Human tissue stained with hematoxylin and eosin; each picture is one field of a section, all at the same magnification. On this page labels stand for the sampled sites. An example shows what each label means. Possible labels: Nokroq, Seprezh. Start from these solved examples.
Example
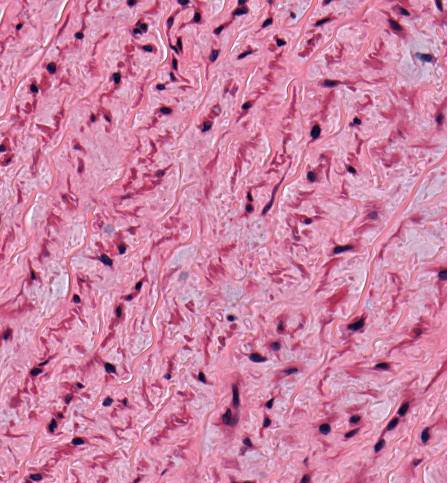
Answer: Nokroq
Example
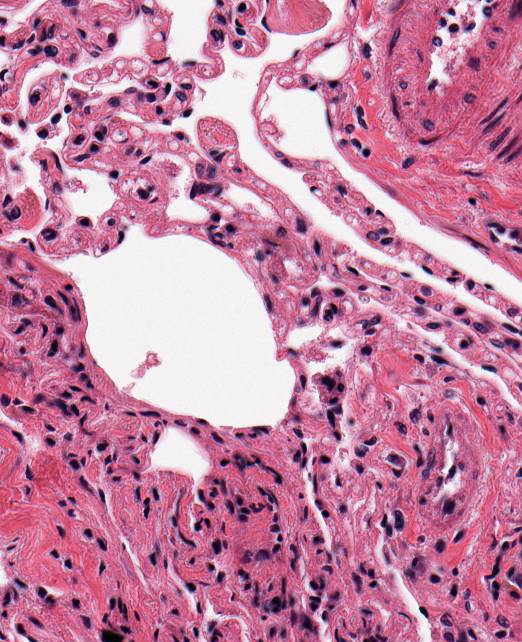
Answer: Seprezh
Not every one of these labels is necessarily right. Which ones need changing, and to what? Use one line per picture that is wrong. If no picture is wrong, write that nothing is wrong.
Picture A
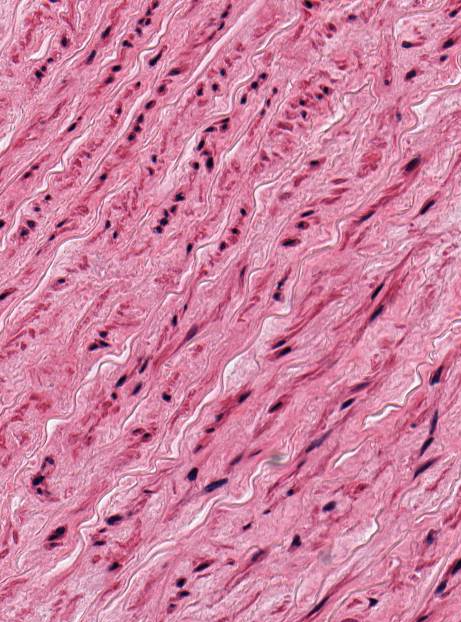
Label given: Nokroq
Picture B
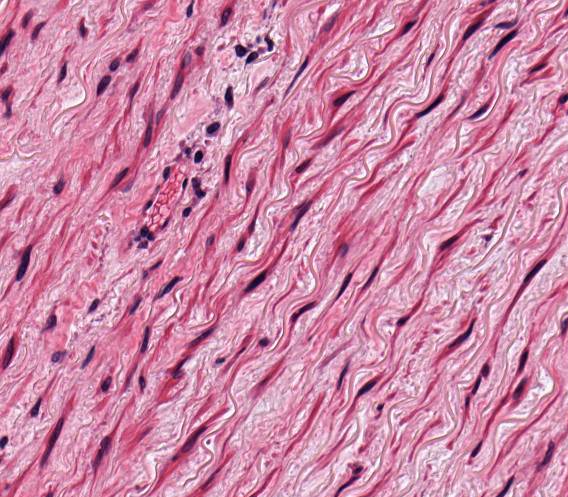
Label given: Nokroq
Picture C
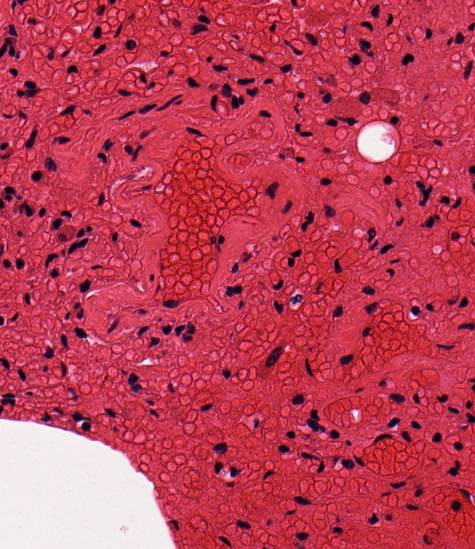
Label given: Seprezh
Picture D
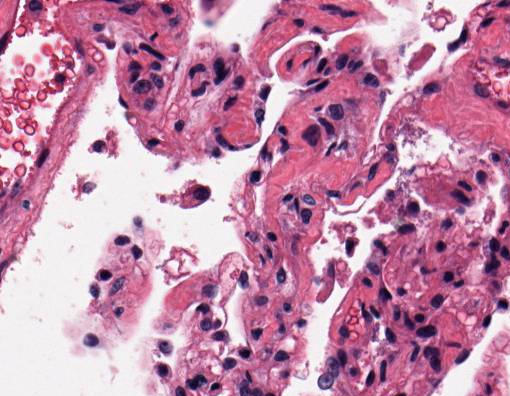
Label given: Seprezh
Every label is right.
